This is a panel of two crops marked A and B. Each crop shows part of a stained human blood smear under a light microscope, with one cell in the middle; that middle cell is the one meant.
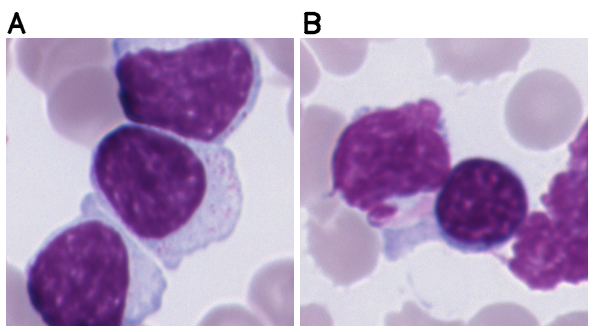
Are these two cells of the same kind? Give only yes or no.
no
